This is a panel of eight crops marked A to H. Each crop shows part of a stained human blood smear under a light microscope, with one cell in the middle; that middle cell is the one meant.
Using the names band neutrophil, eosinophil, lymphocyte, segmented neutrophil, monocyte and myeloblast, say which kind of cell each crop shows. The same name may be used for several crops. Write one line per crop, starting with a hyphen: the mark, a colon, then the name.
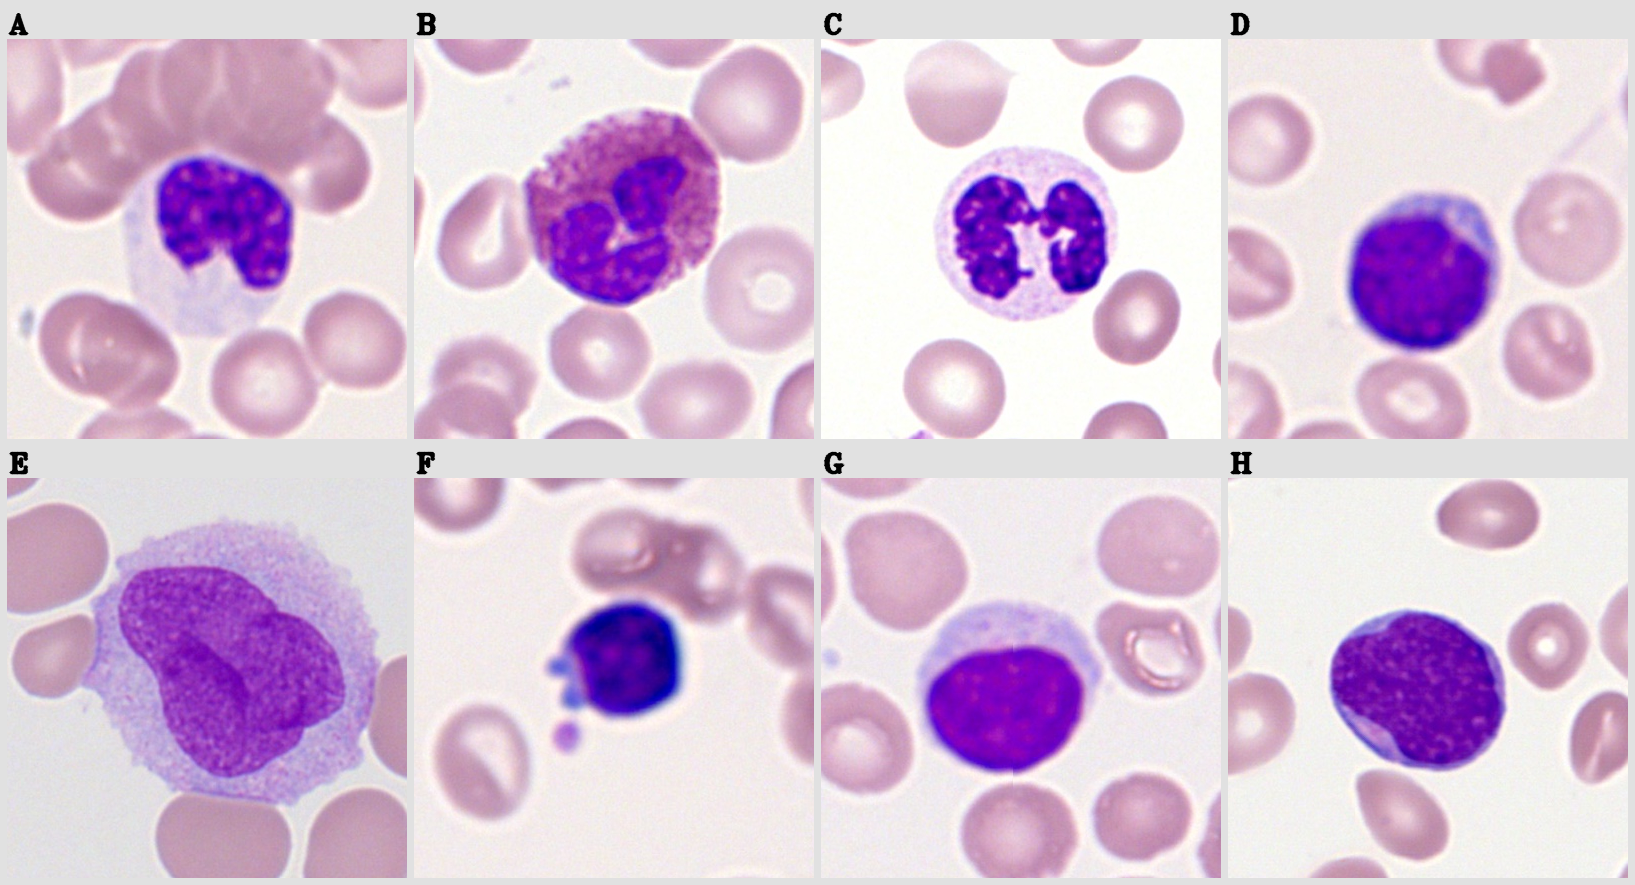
- A: band neutrophil
- B: eosinophil
- C: segmented neutrophil
- D: lymphocyte
- E: monocyte
- F: lymphocyte
- G: lymphocyte
- H: myeloblast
